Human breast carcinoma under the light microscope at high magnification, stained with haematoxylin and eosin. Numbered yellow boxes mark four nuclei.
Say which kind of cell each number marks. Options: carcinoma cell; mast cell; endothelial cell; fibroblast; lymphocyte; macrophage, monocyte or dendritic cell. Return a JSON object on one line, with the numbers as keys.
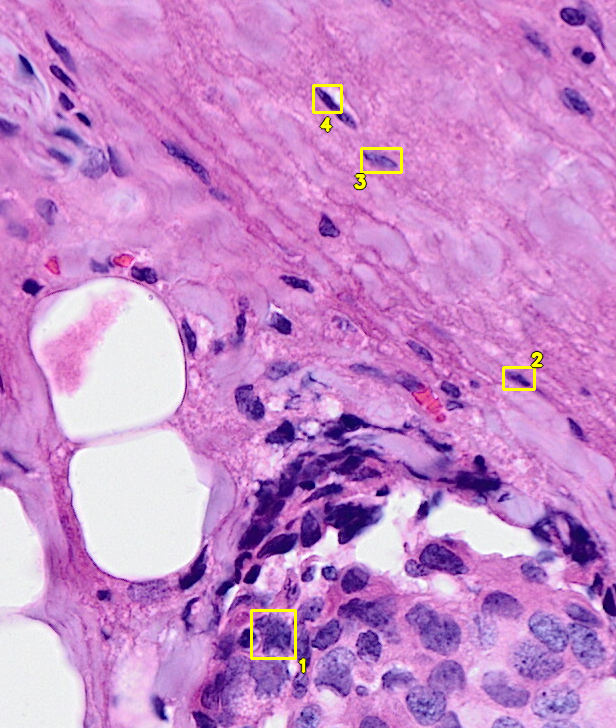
{"1": "carcinoma cell", "2": "fibroblast", "3": "fibroblast", "4": "fibroblast"}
